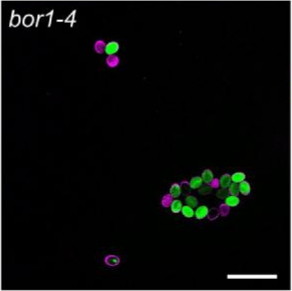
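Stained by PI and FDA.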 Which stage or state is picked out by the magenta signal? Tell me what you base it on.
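Several oval grains in the cluster are filled with magenta. Other grains of the same size and shape are green. That points to this answer: dead pollen.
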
